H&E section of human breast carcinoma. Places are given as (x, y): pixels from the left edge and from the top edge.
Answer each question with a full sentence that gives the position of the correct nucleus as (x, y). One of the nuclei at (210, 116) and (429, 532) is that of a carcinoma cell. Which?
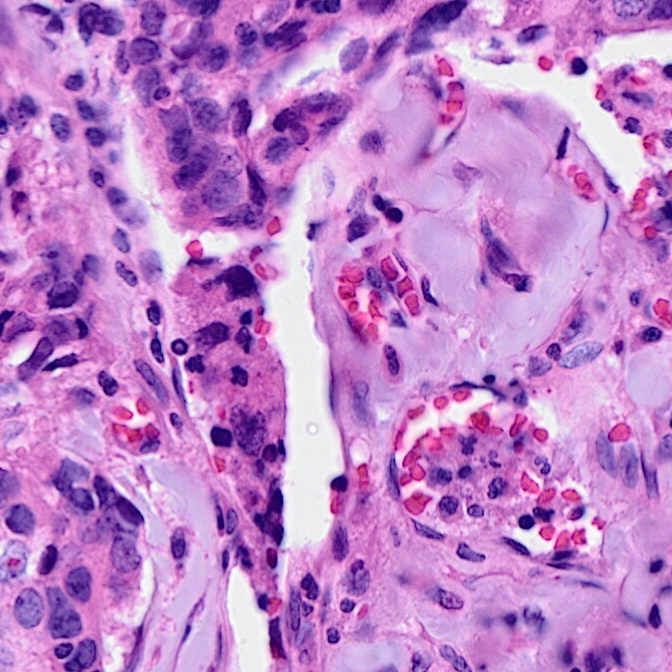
The nucleus contained in a carcinoma cell is the one at (210, 116).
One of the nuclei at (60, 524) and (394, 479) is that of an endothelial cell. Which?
The nucleus at (394, 479) is contained in an endothelial cell.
